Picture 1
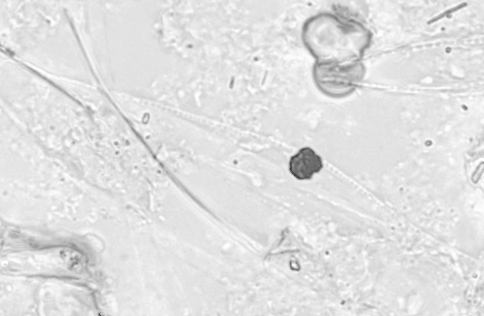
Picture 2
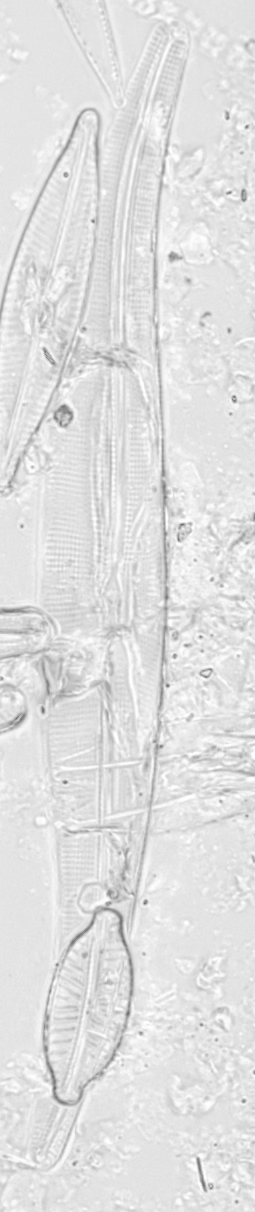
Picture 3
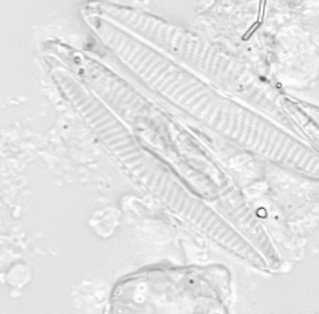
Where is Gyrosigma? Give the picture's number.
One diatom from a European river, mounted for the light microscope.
2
